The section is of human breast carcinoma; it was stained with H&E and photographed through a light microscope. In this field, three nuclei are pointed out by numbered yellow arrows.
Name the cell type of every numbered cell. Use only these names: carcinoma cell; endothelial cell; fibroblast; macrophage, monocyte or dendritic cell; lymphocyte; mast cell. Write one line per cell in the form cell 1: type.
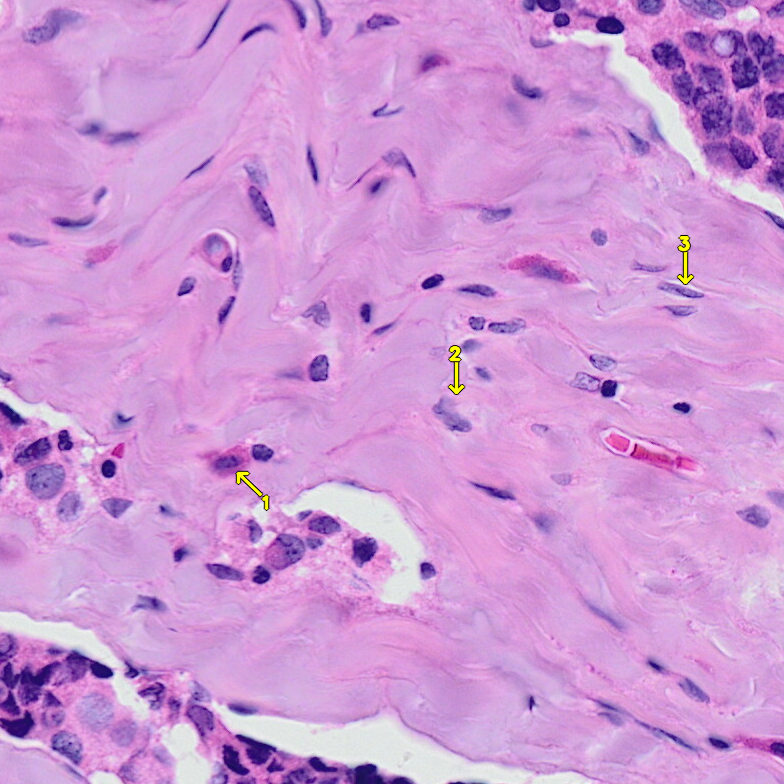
cell 1: mast cell
cell 2: fibroblast
cell 3: fibroblast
